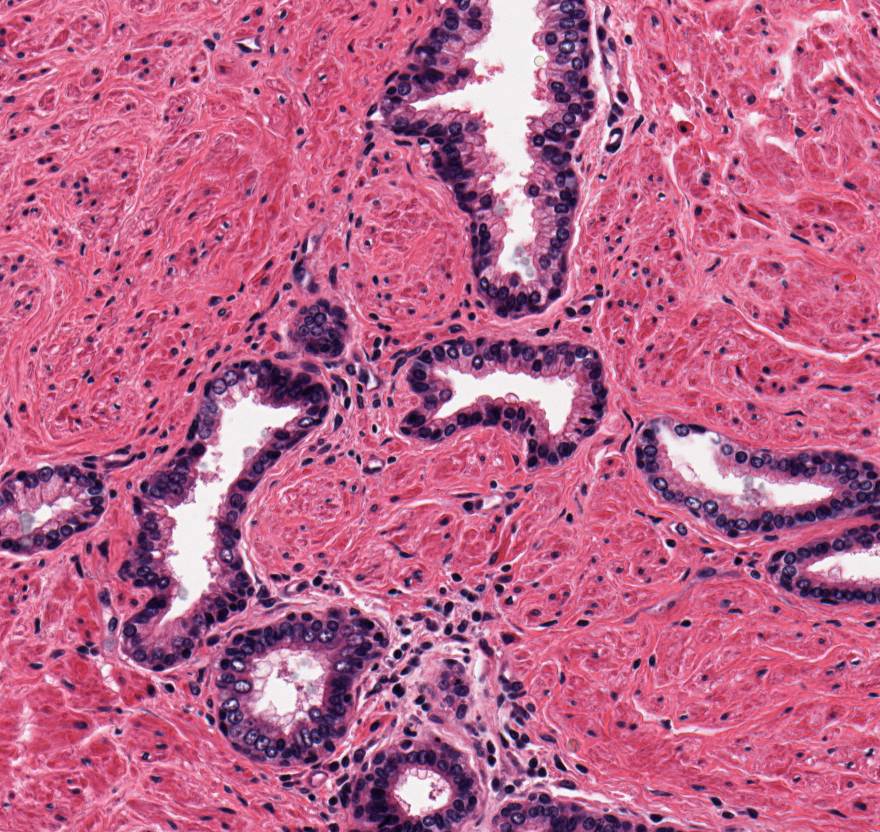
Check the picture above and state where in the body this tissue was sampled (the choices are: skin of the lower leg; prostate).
prostate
